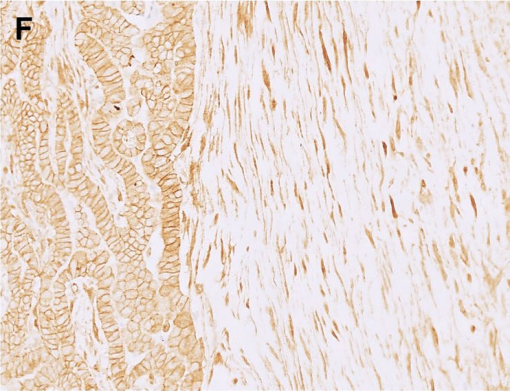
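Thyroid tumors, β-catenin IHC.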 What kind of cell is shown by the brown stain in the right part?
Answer: Stromal cells.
